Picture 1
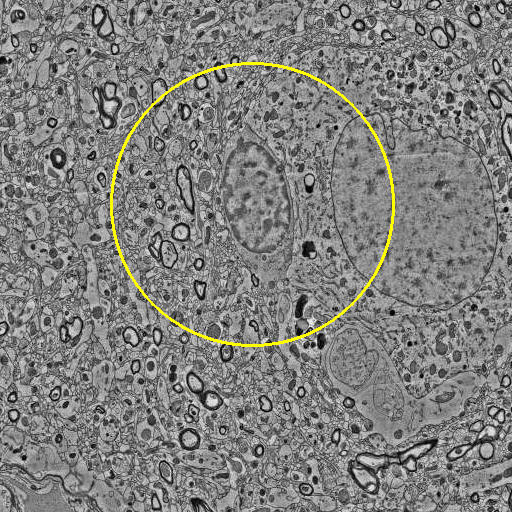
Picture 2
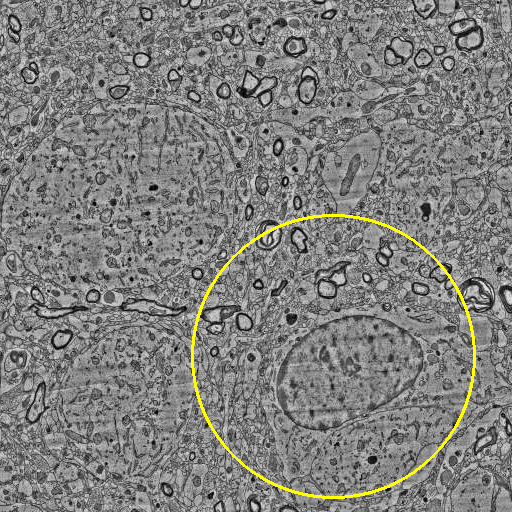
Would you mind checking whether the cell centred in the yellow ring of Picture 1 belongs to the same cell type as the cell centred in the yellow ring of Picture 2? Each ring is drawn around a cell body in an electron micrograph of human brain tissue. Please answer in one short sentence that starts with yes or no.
No, the two cells are of two types.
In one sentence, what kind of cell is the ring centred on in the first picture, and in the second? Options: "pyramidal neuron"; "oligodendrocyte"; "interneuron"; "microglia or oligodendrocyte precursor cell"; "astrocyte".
The cell at the centre of the second ring is a microglial cell or oligodendrocyte precursor cell; the first ring's cell is an oligodendrocyte.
